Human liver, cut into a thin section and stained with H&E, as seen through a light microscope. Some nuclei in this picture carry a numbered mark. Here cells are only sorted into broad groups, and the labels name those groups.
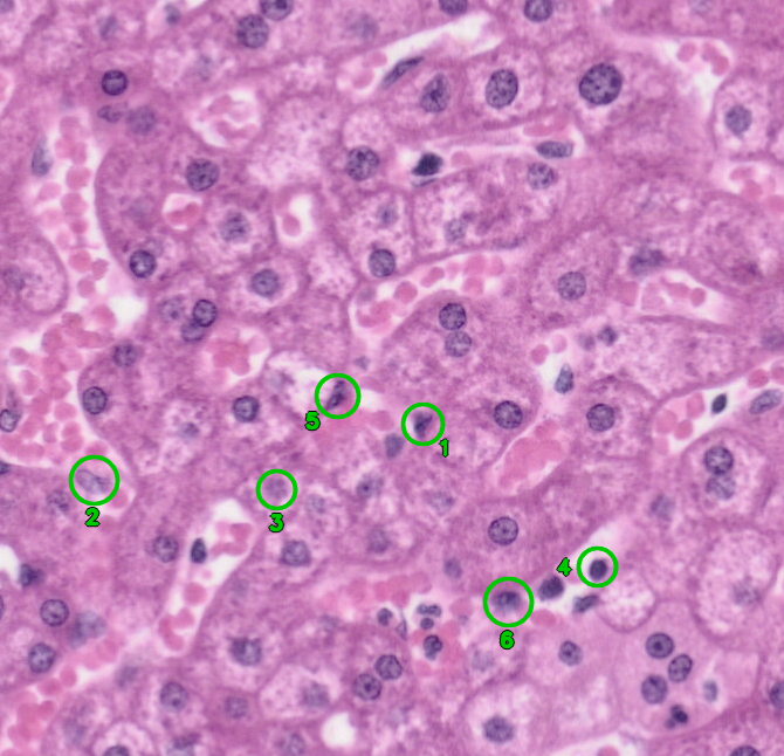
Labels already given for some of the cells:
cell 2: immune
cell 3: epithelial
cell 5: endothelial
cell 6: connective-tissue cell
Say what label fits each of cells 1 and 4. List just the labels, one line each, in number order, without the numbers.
endothelial
immune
